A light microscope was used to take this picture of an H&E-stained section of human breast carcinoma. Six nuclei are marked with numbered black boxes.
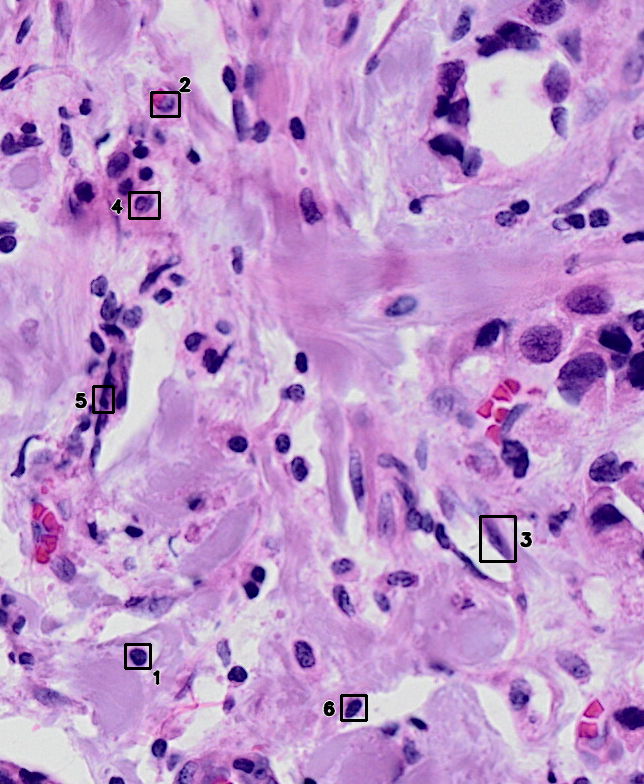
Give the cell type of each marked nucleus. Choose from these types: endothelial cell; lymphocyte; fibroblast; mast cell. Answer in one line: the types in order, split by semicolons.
lymphocyte; endothelial cell; fibroblast; lymphocyte; lymphocyte; lymphocyte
